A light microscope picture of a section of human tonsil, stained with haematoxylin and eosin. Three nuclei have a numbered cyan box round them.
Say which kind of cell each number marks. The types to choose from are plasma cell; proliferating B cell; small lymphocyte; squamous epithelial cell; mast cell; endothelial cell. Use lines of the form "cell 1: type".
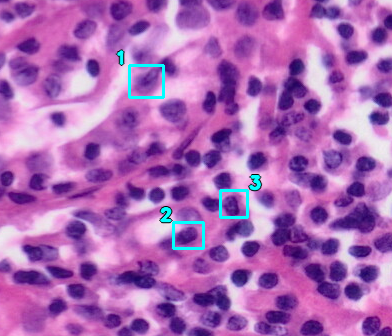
cell 1: squamous epithelial cell
cell 2: endothelial cell
cell 3: plasma cell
